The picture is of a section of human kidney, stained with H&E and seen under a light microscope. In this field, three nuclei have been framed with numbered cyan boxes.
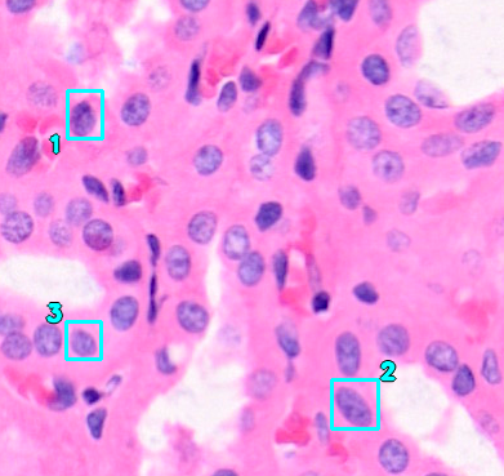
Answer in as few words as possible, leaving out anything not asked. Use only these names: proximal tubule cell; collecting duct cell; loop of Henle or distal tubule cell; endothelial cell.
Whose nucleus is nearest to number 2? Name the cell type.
endothelial cell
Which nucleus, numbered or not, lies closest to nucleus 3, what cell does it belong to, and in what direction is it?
a collecting duct cell to the left of nucleus 3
